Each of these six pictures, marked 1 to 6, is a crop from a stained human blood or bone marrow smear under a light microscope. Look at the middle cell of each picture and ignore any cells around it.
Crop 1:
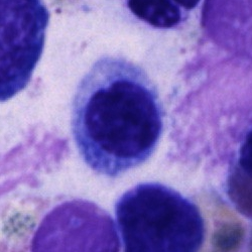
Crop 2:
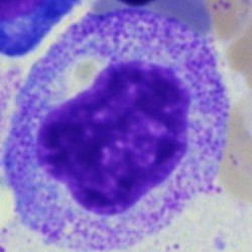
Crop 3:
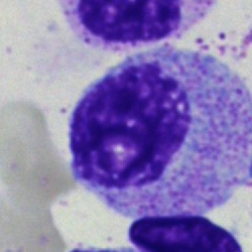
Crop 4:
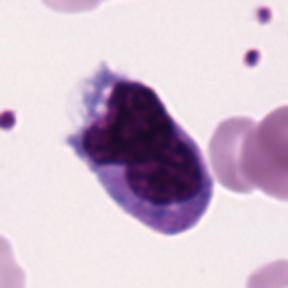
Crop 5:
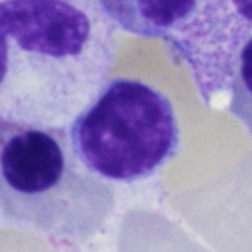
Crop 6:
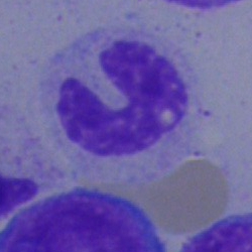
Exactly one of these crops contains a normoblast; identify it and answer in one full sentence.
Crop 1 is where a normoblast is shown.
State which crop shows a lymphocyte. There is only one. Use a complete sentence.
Among the crops given, only crop 5 shows a lymphocyte.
